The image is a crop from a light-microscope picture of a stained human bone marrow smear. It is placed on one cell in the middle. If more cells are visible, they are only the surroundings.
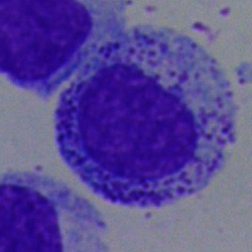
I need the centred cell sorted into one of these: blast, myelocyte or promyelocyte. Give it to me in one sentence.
The centrally placed cell is classified as a myelocyte.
